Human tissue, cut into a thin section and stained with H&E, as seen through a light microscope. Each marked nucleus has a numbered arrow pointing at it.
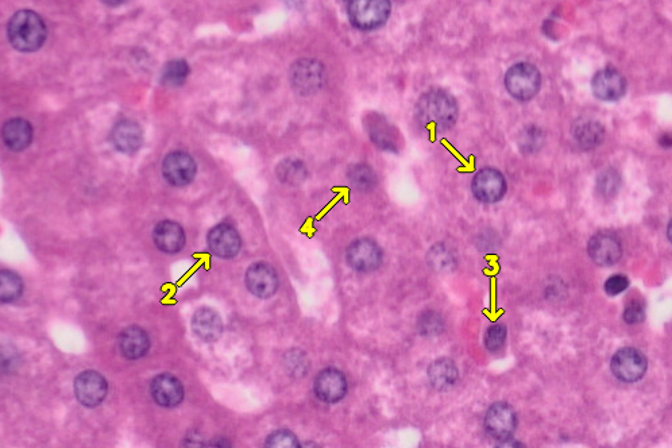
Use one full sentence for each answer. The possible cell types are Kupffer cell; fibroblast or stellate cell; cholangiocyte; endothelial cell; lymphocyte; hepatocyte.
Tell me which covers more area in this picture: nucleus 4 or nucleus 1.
Of the two, number 1 is bigger and takes up about 1.5 times the area of number 4.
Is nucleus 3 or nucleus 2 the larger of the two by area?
Number 2 is larger; its area is about 2 times that of number 3.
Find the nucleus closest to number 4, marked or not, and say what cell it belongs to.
The nucleus nearest to number 4 is that of a Kupffer cell.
